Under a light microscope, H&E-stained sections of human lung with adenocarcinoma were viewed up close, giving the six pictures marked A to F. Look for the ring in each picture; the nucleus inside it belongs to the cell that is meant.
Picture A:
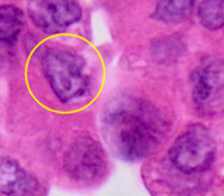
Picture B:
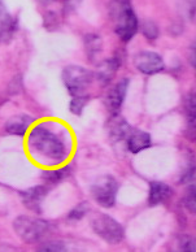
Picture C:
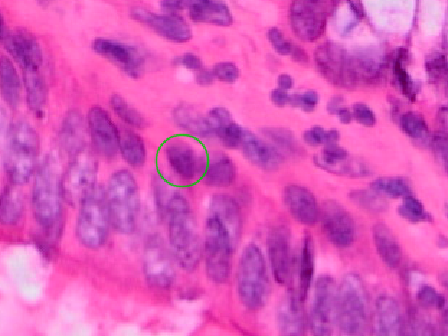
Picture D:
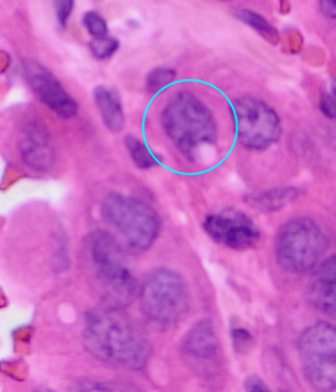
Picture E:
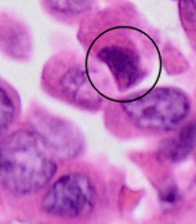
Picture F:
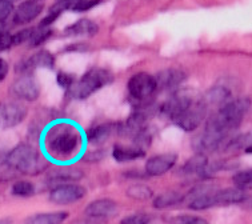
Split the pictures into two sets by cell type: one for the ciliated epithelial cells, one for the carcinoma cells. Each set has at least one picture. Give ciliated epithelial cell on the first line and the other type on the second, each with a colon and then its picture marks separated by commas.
ciliated epithelial cell: B, C, F
carcinoma cell: A, D, E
